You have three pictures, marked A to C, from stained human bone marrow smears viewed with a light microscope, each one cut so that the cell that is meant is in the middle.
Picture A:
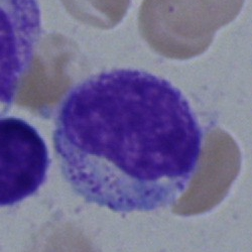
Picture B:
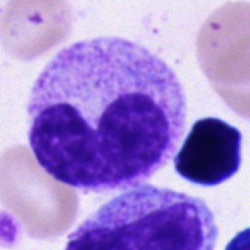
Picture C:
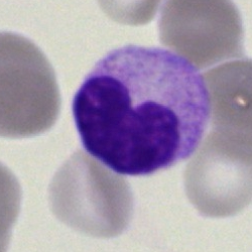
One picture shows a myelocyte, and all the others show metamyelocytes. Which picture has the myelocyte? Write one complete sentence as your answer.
It is picture A that shows the myelocyte.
